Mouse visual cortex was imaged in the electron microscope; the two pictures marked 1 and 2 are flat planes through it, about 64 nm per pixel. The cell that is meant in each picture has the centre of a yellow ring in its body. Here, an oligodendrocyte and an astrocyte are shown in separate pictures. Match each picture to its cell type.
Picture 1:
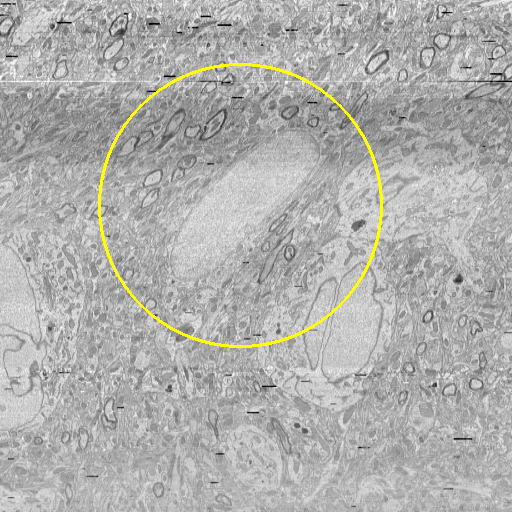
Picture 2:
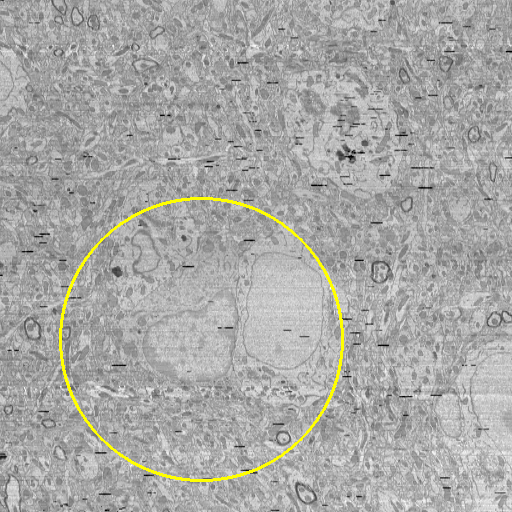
It is picture 1 that shows an astrocyte, and picture 2 that shows an oligodendrocyte.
